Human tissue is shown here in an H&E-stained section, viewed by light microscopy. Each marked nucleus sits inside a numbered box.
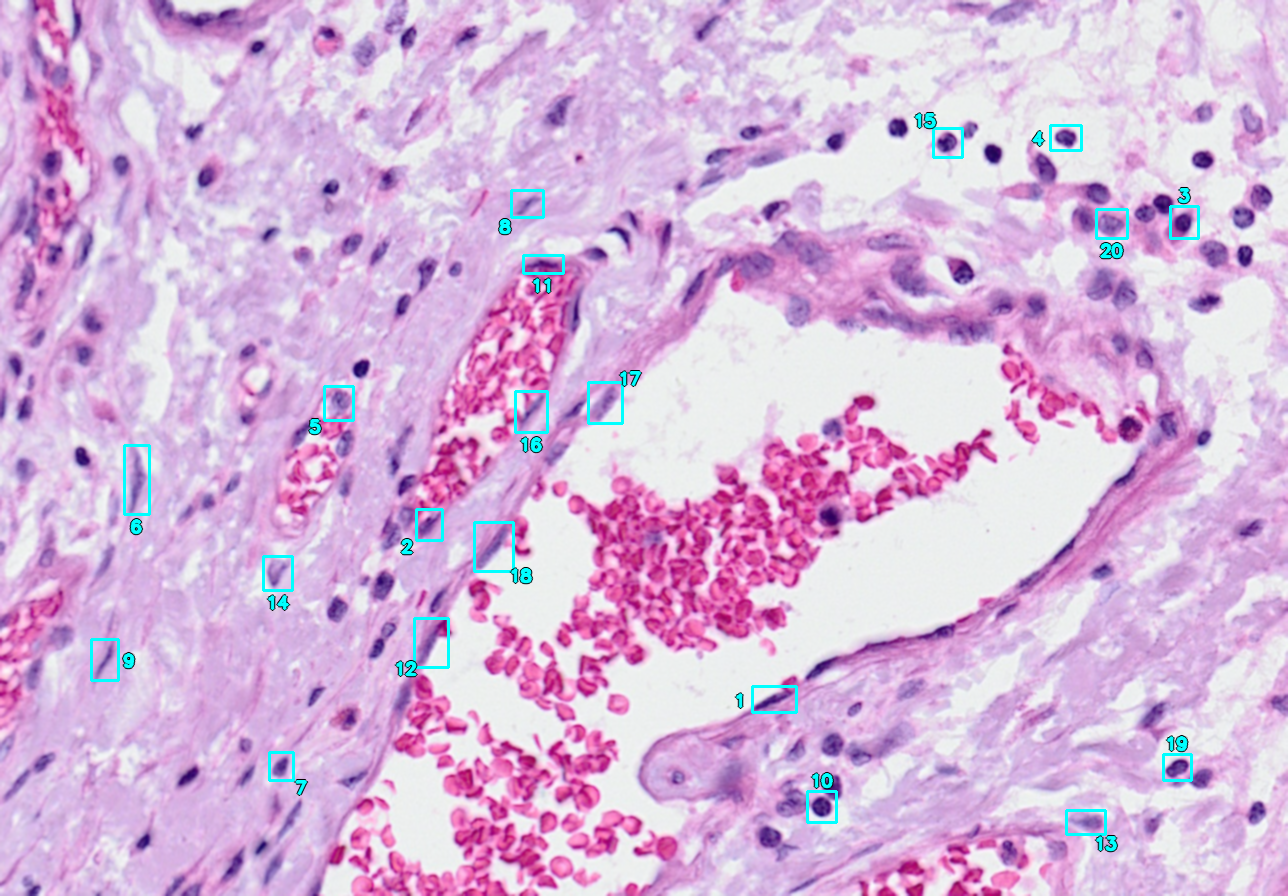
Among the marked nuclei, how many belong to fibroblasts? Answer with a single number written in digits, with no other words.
5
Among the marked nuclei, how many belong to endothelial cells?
8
